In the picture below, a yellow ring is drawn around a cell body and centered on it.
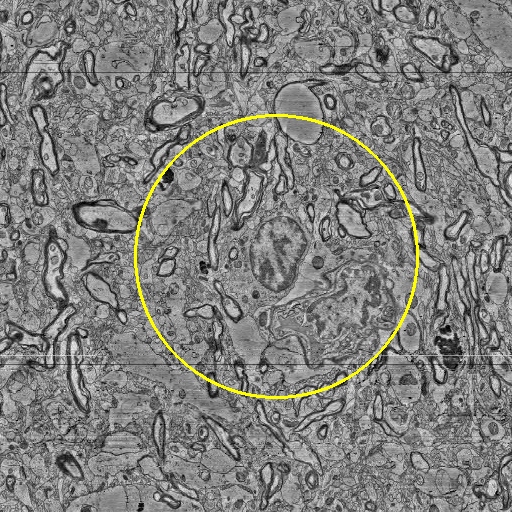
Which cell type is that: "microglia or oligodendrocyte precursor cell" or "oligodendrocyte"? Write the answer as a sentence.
The cell centered in the ring is an oligodendrocyte.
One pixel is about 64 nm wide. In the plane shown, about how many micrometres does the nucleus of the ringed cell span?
In this plane the nucleus measures roughly 5 by 3 micrometres.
